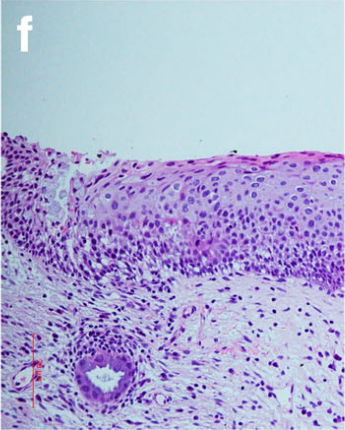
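This is squamous epithelium of a high-grade intraepithelial lesion above stroma. Crowded cells with enlarged dark purple nuclei occupy most of the epithelial thickness, with only a thin pinker layer at the surface. In the stroma below lies a small round gland cut across, lined by columnar cells around a lumen.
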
